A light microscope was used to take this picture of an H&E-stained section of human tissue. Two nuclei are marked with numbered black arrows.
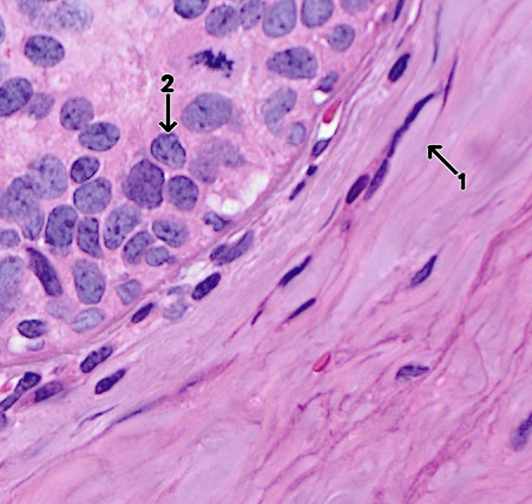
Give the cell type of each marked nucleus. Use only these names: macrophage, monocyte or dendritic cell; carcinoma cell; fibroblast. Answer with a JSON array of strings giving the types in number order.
["fibroblast", "carcinoma cell"]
